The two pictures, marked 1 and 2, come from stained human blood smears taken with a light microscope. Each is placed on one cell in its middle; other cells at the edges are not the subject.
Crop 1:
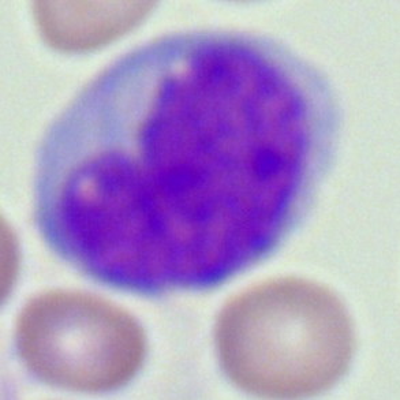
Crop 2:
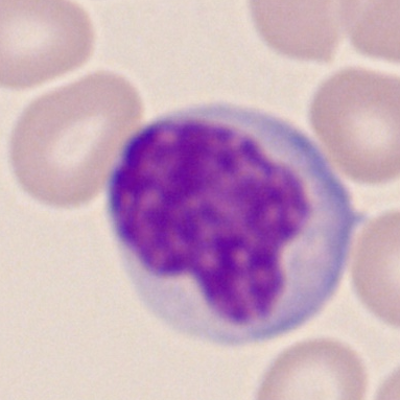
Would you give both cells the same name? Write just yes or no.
yes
